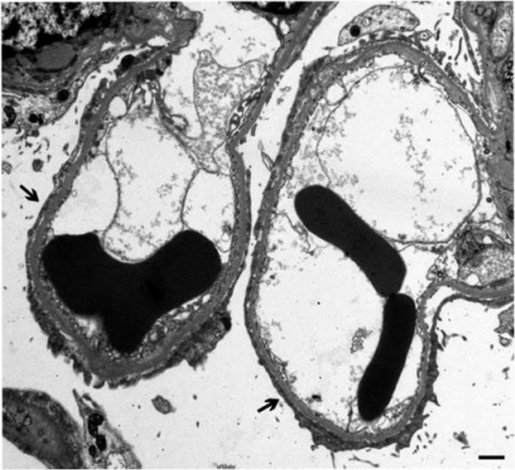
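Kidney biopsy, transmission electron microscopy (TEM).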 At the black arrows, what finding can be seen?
Foot process effacement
